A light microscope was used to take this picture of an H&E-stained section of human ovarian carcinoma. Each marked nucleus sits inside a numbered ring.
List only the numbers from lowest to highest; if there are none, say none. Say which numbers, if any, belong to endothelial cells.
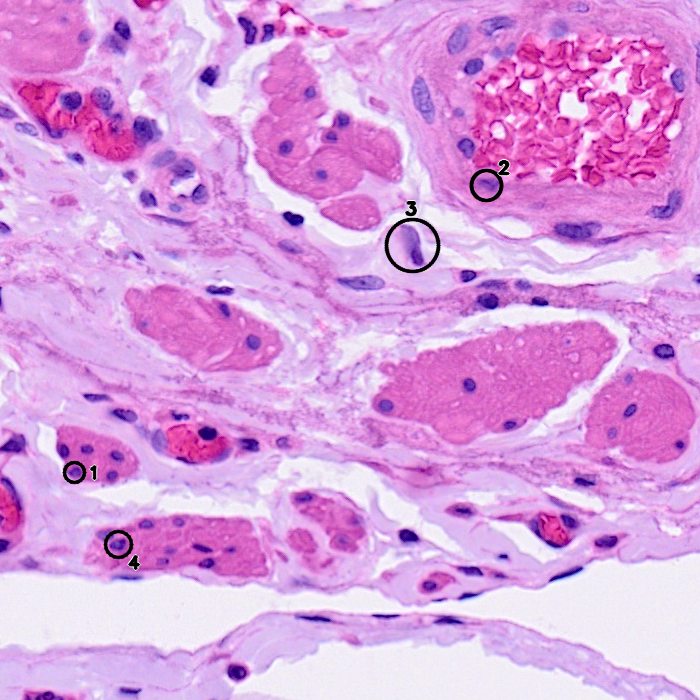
2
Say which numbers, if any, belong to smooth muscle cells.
1, 4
